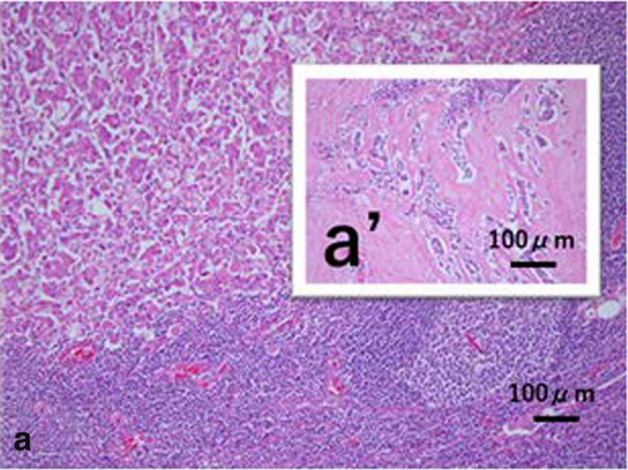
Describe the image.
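Lymph node invaded by carcinoma. Upper half occupied by crowded nests and small papillary clusters of large epithelial cells with ample pink cytoplasm, separated by thin clear spaces and delicate stroma. Lower half shows dense sheets of small lymphocytes with dark round nuclei, with a paler rounded follicle-like area at lower right and scattered small vessels containing red cells. Boundary between tumour and lymphoid tissue is fairly sharp. Inset: scattered small cords and clusters of tumour cells embedded in abundant dense pink fibrous stroma.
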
